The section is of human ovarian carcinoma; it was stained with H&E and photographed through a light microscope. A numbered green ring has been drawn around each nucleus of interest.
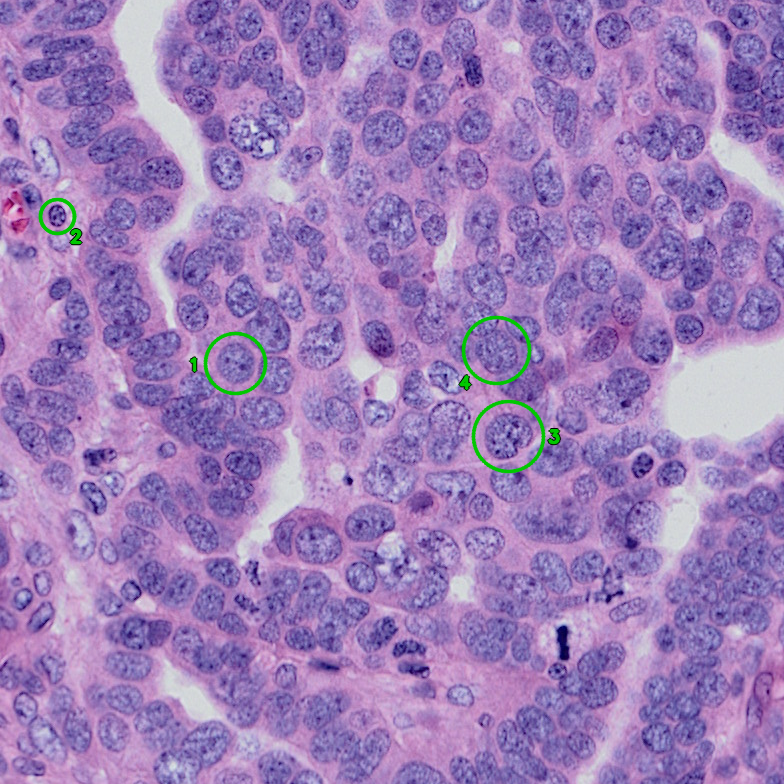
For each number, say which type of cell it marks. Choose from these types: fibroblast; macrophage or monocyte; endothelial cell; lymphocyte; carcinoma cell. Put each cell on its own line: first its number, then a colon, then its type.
1: carcinoma cell
2: lymphocyte
3: carcinoma cell
4: carcinoma cell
